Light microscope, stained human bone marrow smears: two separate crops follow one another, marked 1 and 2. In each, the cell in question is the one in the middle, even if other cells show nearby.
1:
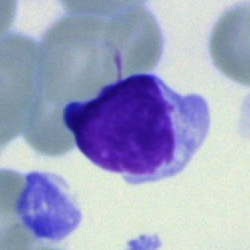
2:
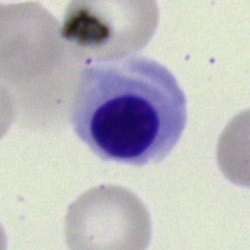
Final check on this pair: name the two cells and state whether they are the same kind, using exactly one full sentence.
No, it is crop 1 that shows a lymphocyte, and crop 2 shows a normoblast.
